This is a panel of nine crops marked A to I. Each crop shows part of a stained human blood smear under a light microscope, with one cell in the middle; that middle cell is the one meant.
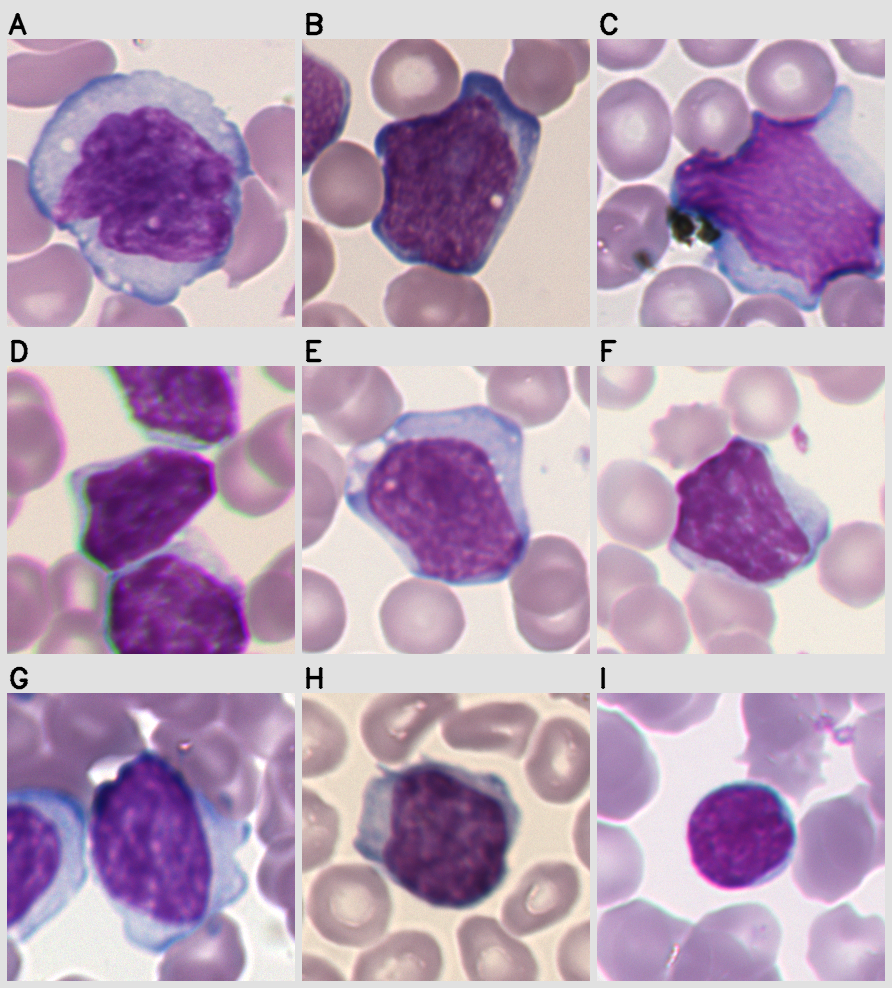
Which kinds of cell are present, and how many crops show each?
blast: 6
lymphocyte: 3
